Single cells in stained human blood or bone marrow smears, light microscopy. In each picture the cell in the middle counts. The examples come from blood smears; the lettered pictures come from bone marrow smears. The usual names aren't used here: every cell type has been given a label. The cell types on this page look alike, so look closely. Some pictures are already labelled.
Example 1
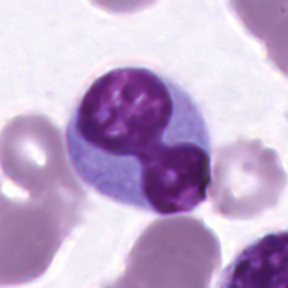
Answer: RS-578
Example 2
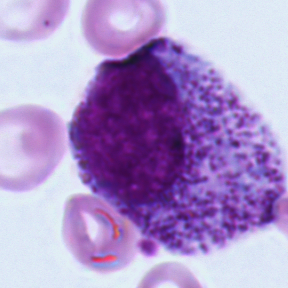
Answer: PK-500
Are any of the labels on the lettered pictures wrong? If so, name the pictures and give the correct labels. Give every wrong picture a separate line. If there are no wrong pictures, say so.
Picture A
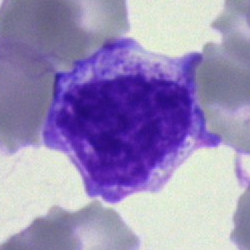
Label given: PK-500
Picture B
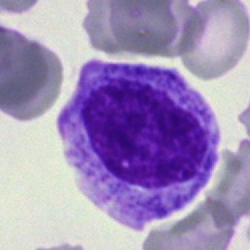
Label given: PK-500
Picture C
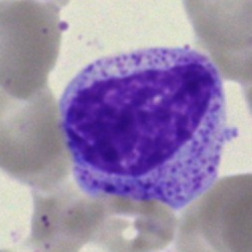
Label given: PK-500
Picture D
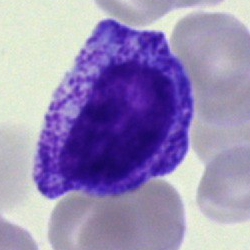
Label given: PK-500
All correct.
